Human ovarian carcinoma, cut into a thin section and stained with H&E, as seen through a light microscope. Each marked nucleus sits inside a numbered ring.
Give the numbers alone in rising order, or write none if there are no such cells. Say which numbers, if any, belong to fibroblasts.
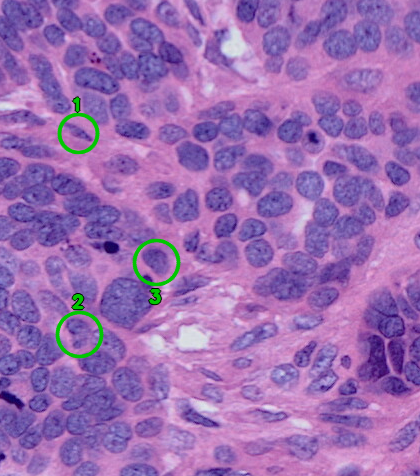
1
